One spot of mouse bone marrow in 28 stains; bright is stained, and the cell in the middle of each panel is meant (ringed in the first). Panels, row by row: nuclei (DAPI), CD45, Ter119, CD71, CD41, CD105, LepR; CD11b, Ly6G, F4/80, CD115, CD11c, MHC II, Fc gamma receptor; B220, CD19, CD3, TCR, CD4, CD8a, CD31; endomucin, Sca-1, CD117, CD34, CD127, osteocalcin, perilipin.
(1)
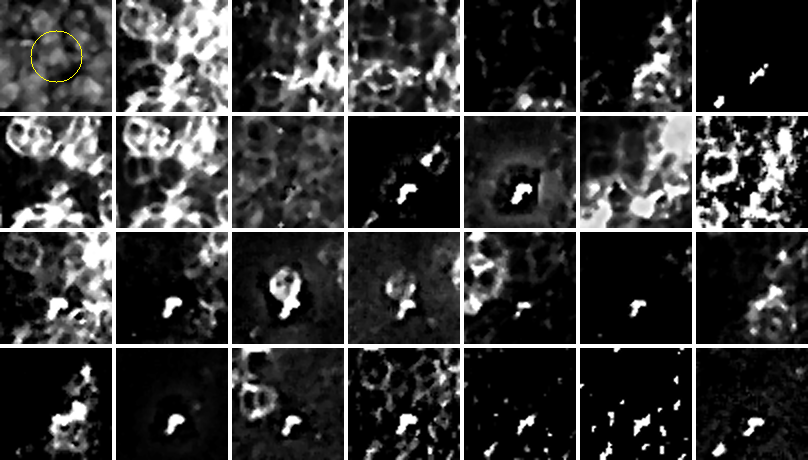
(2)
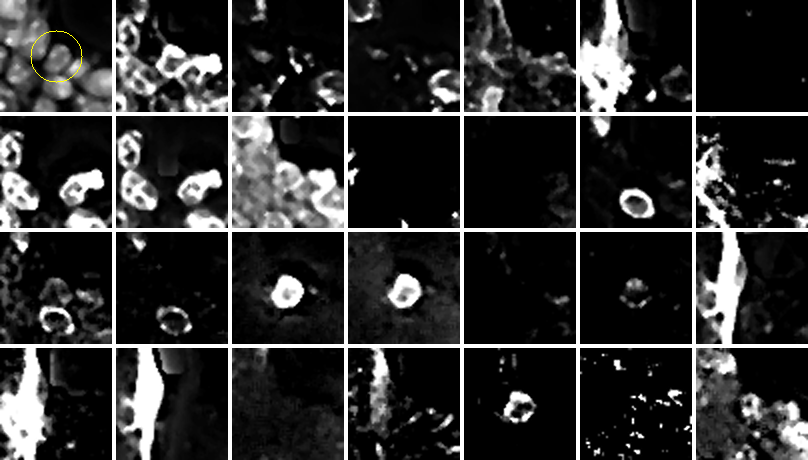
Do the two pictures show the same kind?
Yes, both are double-negative T cells.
